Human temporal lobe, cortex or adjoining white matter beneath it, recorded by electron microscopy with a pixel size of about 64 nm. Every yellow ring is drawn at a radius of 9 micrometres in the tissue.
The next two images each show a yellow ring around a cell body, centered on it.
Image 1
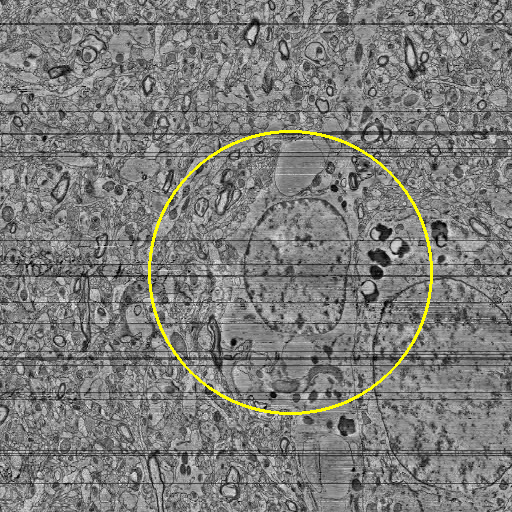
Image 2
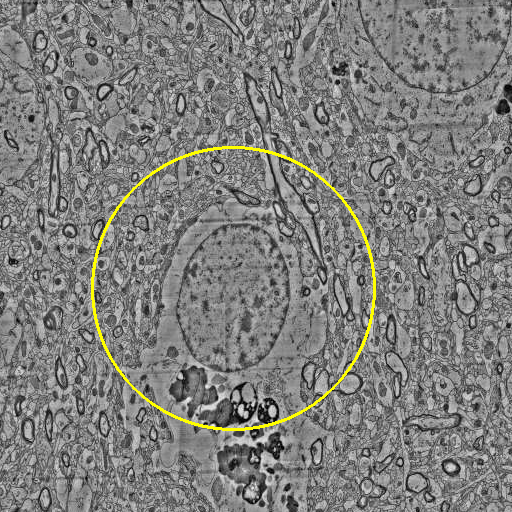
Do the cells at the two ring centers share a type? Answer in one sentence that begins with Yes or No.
Yes, across the two images the cells at the ring centers share one type.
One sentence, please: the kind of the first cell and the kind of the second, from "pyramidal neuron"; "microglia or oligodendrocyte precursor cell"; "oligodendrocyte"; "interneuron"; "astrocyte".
Each one of the two ringed cells is an astrocyte.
